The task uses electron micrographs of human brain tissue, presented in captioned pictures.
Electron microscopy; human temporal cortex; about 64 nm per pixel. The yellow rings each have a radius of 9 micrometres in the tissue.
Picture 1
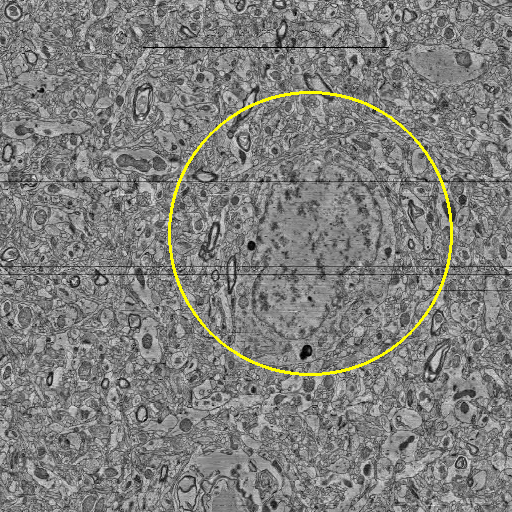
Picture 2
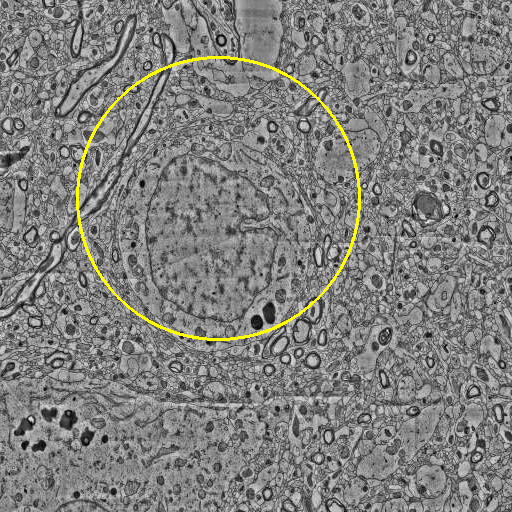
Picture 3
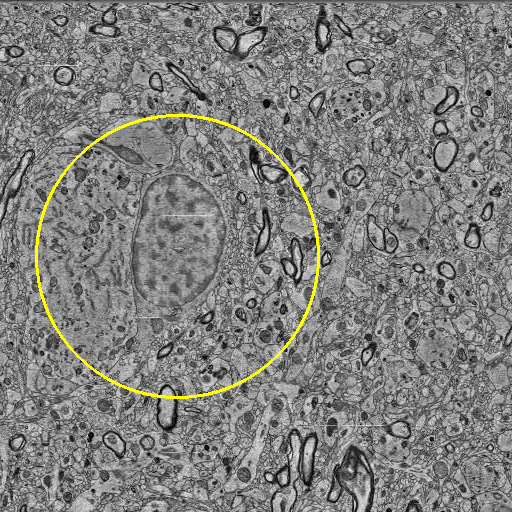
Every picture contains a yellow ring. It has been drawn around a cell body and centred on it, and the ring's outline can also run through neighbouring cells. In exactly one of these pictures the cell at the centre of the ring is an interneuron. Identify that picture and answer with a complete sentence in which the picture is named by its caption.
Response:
The ring in Picture 1 is centred on that kind of cell.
